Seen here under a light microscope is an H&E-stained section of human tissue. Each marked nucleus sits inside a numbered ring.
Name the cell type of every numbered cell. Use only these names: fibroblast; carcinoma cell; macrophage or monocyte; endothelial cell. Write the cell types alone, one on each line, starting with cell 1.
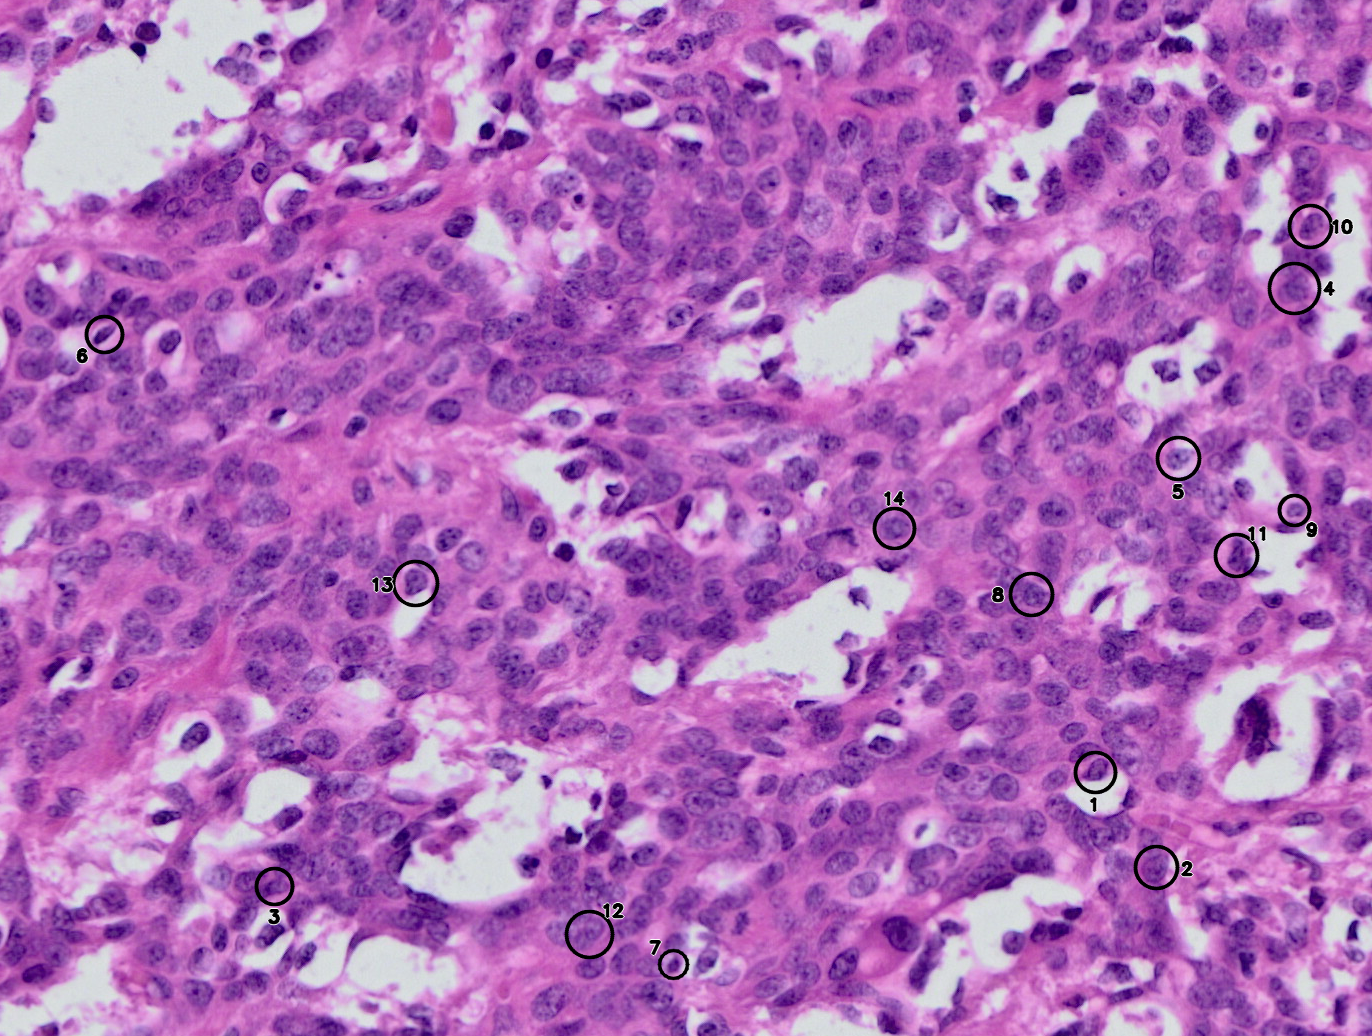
macrophage or monocyte
carcinoma cell
carcinoma cell
carcinoma cell
macrophage or monocyte
carcinoma cell
carcinoma cell
carcinoma cell
macrophage or monocyte
macrophage or monocyte
macrophage or monocyte
carcinoma cell
macrophage or monocyte
carcinoma cell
